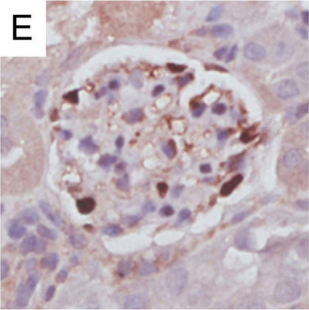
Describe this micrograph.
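A handful of brown nuclei remain at the edge of the tuft, while most nuclei within it are blue. There is patchy fainter brown granular staining in the tuft and in the surrounding tissue. The glomerulus looks enlarged and crowded with blue nuclei, and cells with blue nuclei cluster around its outer border.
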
